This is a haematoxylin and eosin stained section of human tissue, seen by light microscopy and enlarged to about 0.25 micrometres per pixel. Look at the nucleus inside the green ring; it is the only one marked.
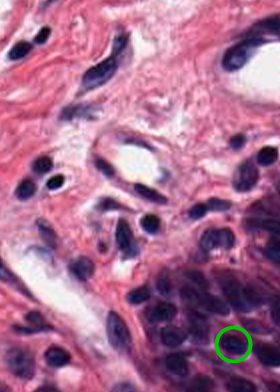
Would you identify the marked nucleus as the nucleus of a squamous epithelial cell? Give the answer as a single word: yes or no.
yes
